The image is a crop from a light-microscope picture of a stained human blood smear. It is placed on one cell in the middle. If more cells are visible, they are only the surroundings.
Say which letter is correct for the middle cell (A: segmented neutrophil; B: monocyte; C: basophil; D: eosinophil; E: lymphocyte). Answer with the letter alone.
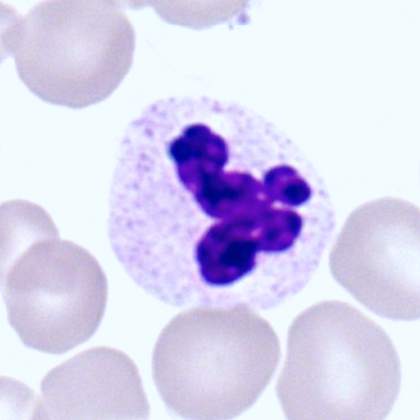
A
